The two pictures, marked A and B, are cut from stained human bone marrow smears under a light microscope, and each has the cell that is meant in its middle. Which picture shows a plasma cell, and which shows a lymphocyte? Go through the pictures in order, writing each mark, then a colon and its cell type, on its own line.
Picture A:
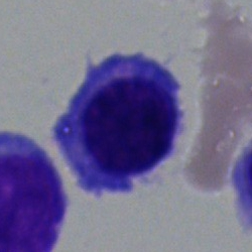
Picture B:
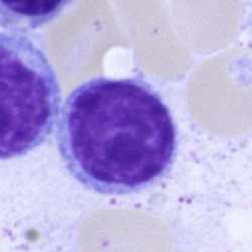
A: plasma cell
B: lymphocyte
